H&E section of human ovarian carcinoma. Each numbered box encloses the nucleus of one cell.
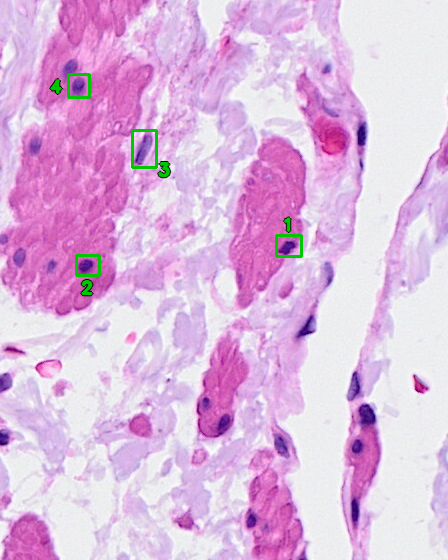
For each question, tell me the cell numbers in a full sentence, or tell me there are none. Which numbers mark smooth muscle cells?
Cells 1, 2 and 4 are classified as smooth muscle cells.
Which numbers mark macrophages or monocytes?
Of the numbered cells, none are macrophages or monocytes.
